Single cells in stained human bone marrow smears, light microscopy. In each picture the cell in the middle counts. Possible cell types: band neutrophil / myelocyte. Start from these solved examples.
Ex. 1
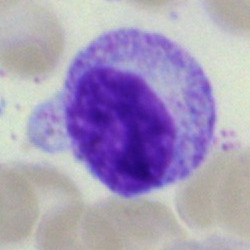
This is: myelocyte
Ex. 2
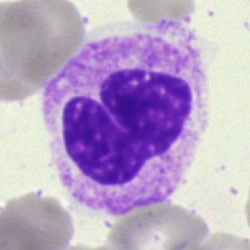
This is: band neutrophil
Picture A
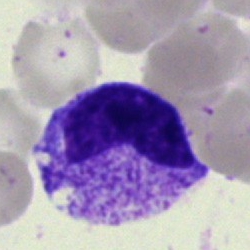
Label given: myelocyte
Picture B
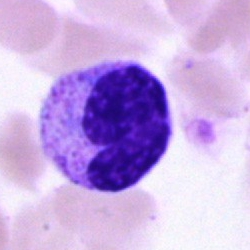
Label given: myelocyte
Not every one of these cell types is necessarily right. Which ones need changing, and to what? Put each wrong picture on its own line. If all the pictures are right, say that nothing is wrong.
A: change myelocyte to band neutrophil
B: change myelocyte to band neutrophil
